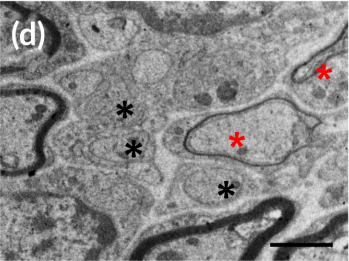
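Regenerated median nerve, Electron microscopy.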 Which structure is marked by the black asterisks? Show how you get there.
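The profiles marked by black asterisks are round and pale, bounded only by a thin membrane. So: unmyelinated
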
